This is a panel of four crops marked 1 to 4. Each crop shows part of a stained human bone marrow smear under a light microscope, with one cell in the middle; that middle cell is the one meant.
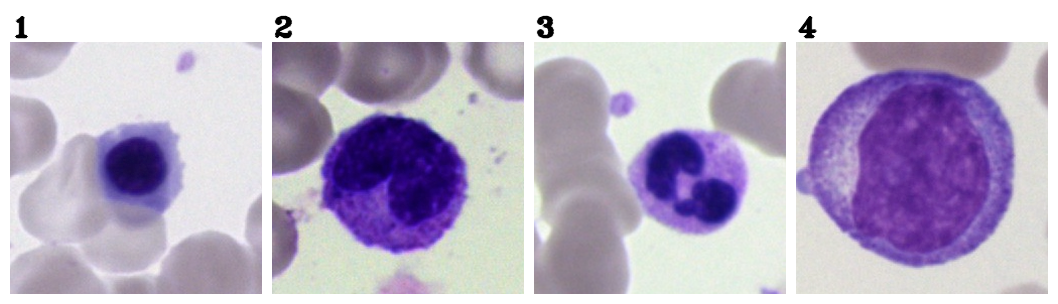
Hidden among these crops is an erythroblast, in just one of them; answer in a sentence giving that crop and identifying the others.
Crop 1 is best given as an erythroblast, while crop 2 is a band neutrophil, crop 3 is a segmented neutrophil and crop 4 is a blast.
